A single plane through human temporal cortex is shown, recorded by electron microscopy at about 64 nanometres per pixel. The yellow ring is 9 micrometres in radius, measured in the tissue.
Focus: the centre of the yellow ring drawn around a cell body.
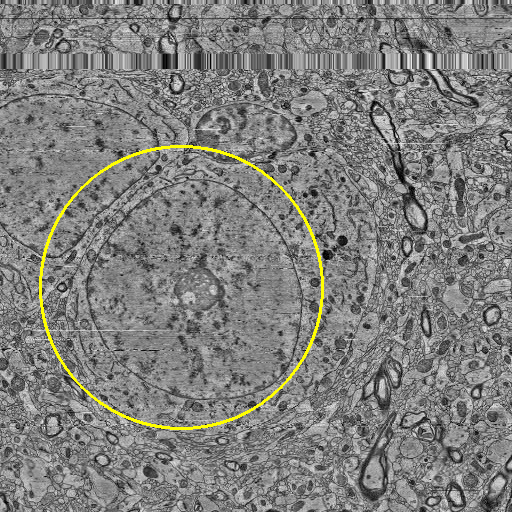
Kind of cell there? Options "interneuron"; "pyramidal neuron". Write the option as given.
pyramidal neuron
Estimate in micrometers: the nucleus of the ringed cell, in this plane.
The nucleus of the ringed cell is approximately 14 micrometres across in this plane.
